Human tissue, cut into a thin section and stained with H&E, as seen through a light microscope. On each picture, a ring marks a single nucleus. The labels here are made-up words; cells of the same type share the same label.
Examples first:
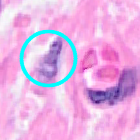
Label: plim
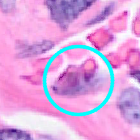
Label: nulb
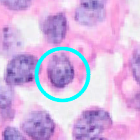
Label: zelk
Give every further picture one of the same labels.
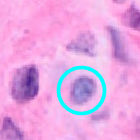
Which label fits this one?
nulb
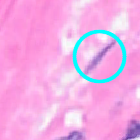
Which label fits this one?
plim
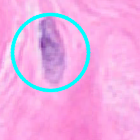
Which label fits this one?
plim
